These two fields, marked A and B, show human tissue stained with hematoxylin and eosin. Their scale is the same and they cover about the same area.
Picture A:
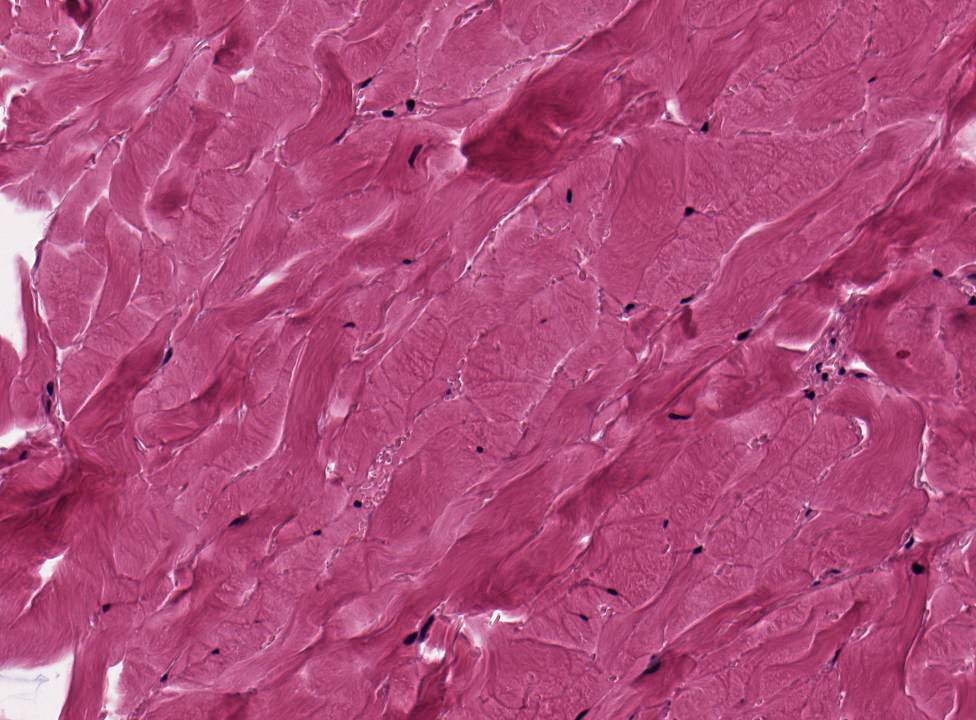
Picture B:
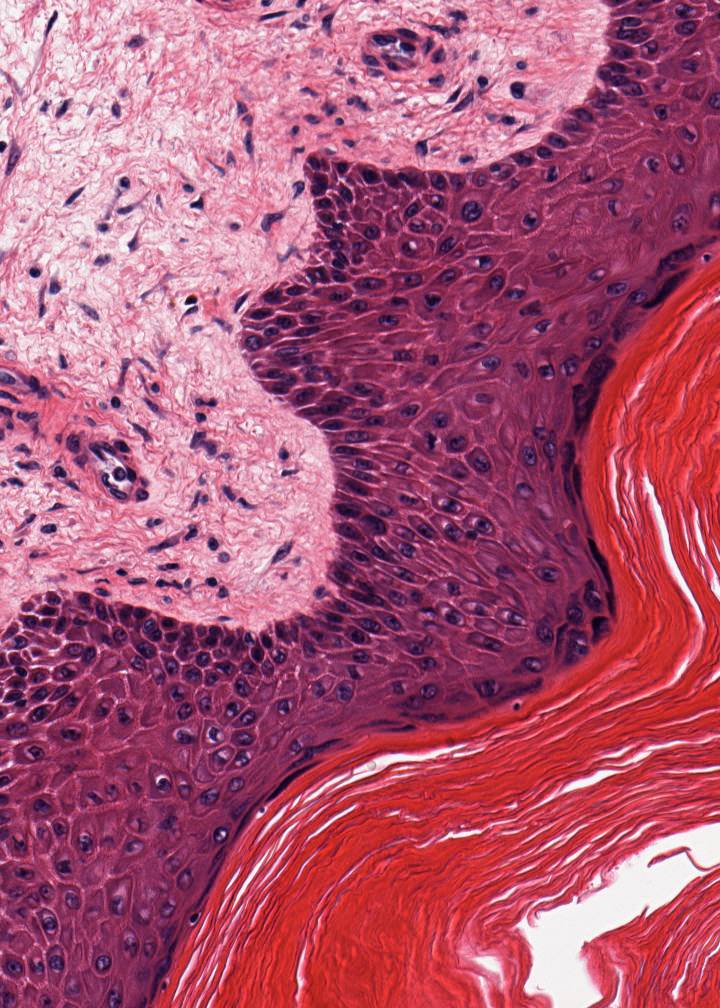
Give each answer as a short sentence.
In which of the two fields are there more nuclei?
There are more nuclei in picture B.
